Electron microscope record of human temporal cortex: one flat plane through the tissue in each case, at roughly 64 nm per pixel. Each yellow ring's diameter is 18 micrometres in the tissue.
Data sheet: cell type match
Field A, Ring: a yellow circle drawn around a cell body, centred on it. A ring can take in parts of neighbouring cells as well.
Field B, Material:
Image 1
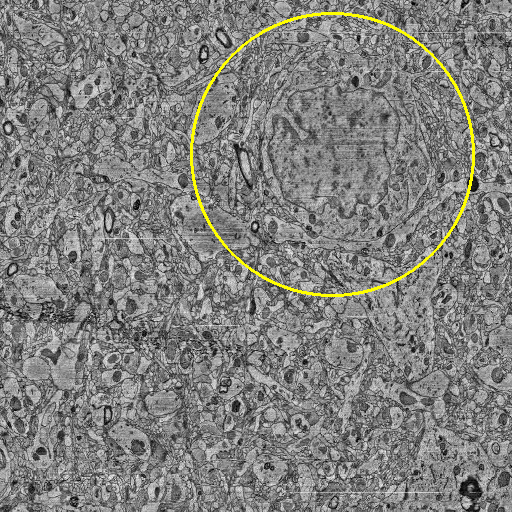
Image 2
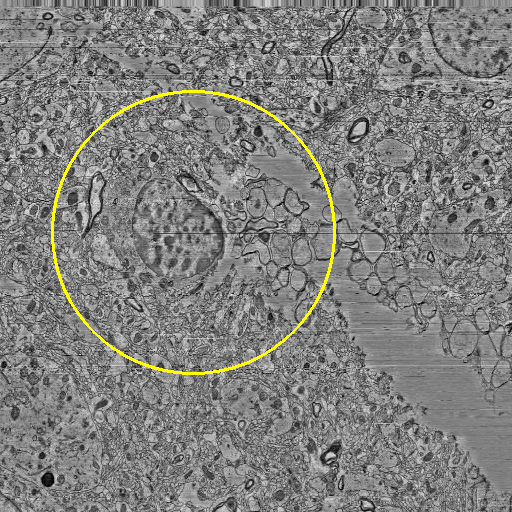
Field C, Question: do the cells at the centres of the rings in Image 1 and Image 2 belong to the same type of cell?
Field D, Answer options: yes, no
no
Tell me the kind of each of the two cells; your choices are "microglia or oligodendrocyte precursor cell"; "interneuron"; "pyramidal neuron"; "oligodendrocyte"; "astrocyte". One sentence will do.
The ringed cell is an interneuron in the first picture and an oligodendrocyte in the second picture.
